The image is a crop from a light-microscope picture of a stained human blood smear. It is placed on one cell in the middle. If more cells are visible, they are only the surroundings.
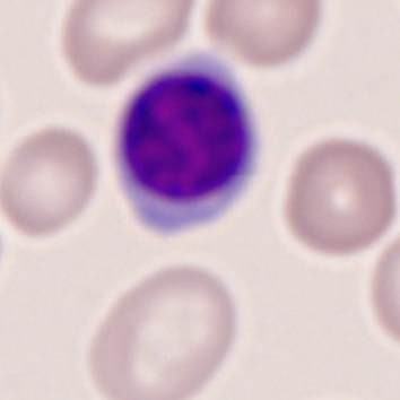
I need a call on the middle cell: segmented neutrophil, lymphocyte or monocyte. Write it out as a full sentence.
As for the cell in the middle, it is a lymphocyte.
